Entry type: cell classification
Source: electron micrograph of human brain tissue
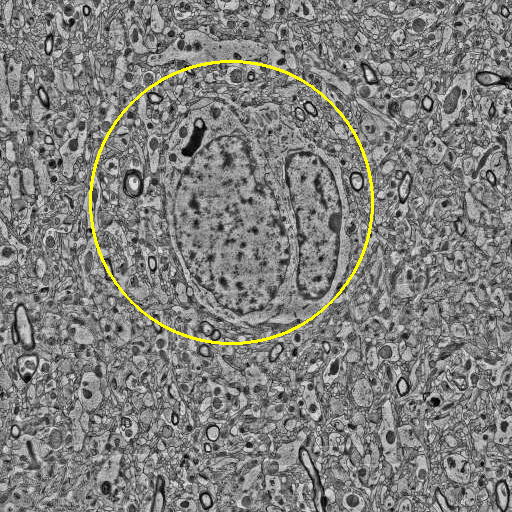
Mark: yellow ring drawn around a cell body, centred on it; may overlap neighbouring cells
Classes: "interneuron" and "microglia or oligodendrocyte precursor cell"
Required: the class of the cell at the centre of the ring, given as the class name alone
interneuron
